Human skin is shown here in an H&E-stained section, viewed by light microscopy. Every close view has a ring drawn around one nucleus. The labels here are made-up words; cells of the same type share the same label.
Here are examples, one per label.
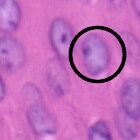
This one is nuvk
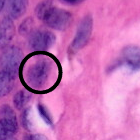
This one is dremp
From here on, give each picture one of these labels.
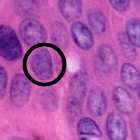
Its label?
dremp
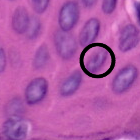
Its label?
nuvk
